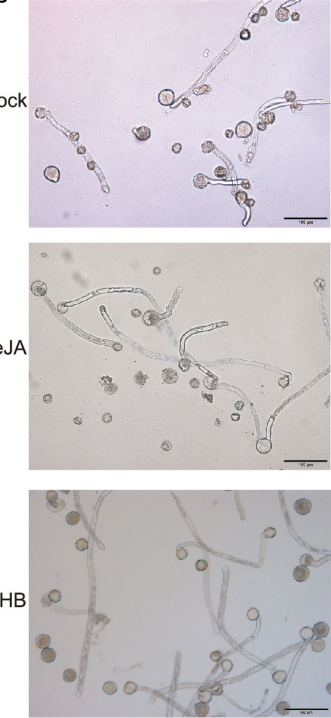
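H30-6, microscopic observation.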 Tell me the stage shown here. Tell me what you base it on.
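Long, thin, clear tubes grow out of round grains. Some round grains have no tube.
Answer: pollen germination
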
